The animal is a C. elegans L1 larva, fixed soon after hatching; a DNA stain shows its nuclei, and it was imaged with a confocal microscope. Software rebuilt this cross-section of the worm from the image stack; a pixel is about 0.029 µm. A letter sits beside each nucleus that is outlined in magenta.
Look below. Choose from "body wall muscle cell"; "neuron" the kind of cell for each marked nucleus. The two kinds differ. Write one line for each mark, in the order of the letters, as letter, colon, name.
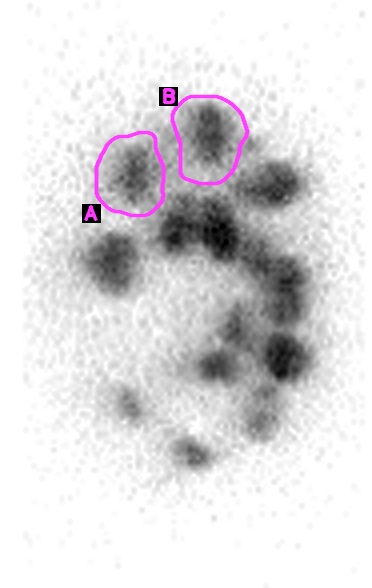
A: body wall muscle cell
B: neuron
